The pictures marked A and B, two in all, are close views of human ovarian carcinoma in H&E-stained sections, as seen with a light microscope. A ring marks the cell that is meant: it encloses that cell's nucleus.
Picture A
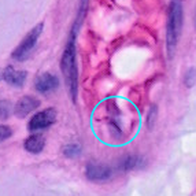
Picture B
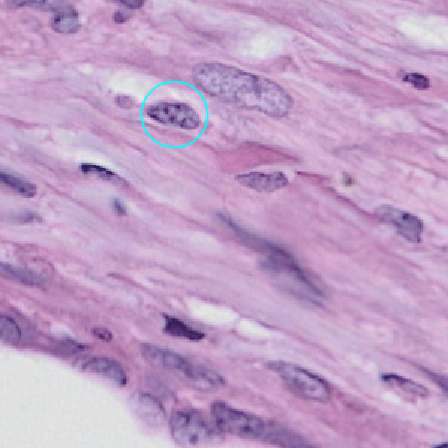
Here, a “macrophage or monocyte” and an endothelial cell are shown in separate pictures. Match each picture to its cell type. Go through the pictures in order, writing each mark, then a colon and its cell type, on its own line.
A: endothelial cell
B: macrophage or monocyte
